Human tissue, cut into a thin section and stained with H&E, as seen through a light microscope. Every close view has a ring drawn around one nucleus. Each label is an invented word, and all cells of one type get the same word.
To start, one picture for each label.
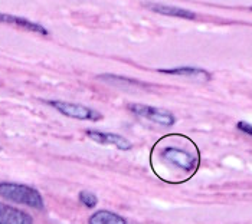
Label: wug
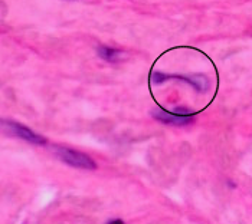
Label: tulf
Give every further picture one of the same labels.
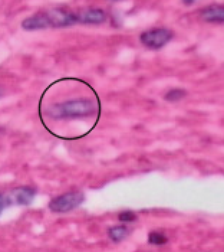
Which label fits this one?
tulf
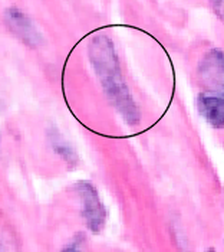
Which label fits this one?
wug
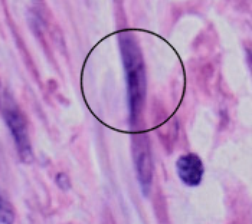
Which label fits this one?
wug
